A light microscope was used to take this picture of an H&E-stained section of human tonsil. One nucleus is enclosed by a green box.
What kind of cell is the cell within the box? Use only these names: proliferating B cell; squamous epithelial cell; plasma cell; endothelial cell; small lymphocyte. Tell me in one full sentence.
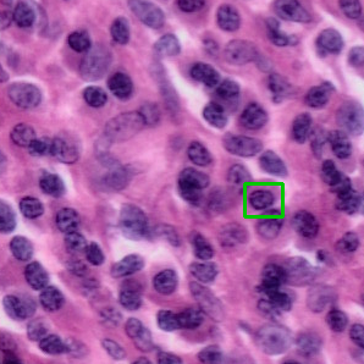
With respect to cell type, the cell within the box is a plasma cell.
